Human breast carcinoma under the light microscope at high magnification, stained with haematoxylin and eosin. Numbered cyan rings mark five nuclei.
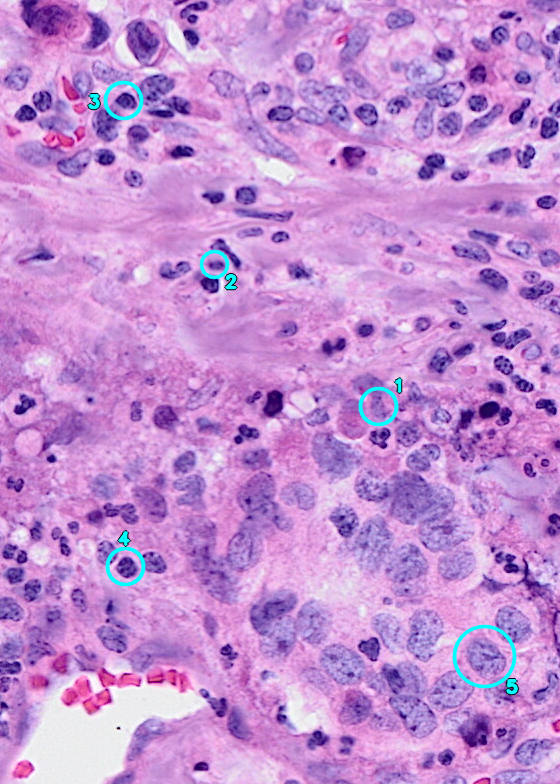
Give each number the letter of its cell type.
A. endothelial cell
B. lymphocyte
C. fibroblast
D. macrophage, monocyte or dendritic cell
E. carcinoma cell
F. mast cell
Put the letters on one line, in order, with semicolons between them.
A; B; B; B; E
